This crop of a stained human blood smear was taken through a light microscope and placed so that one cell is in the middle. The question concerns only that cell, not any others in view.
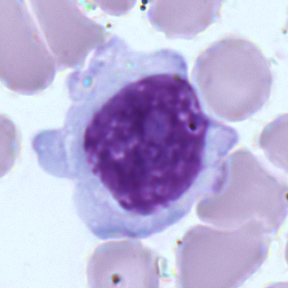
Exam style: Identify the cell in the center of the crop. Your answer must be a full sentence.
Framed in the middle of the crop is a plasma cell.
